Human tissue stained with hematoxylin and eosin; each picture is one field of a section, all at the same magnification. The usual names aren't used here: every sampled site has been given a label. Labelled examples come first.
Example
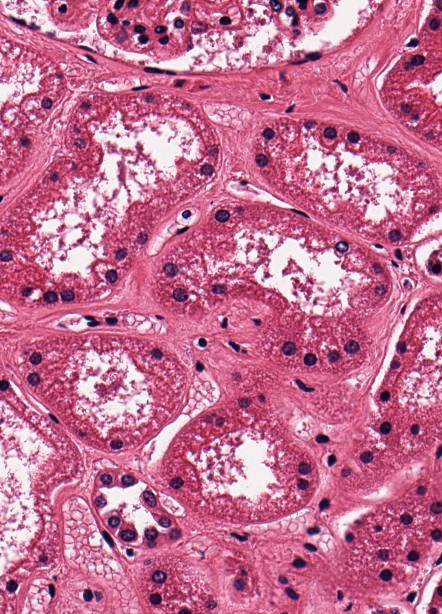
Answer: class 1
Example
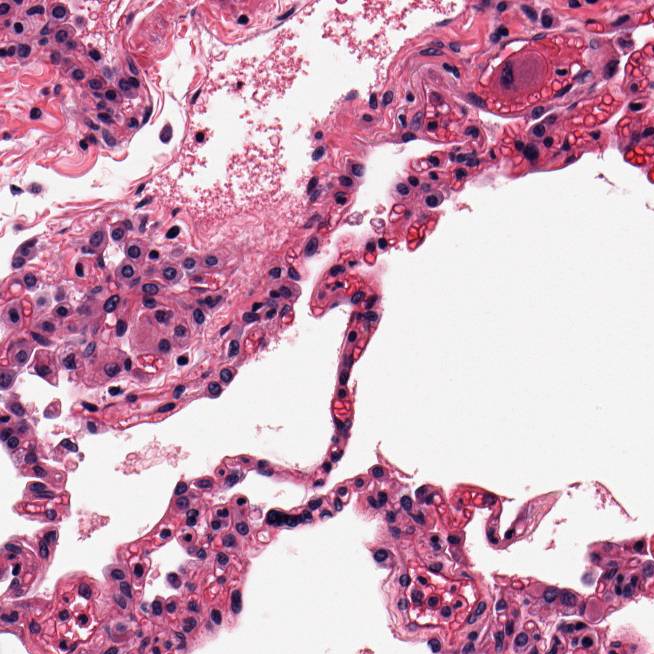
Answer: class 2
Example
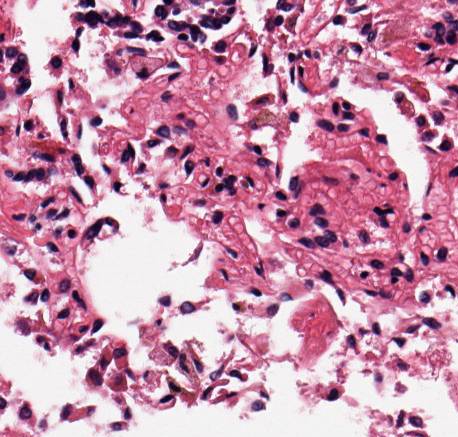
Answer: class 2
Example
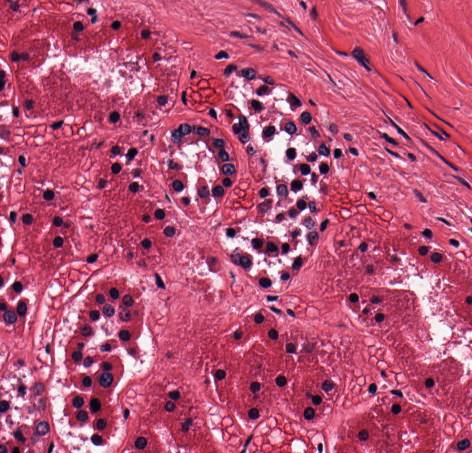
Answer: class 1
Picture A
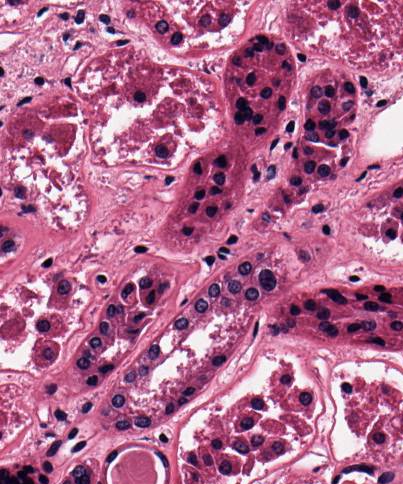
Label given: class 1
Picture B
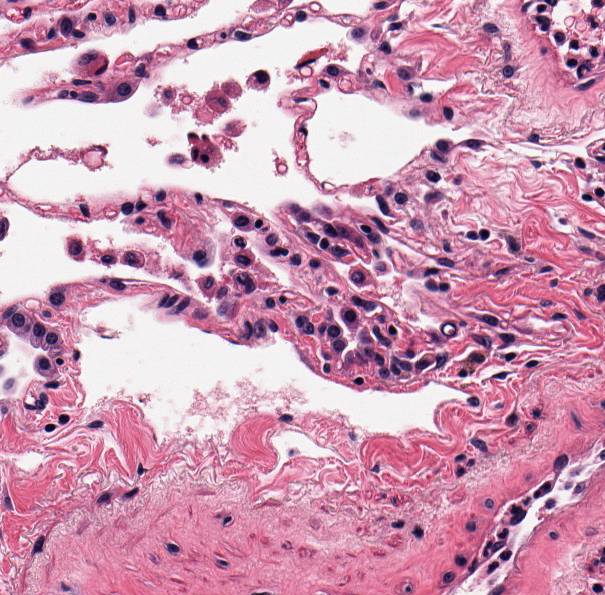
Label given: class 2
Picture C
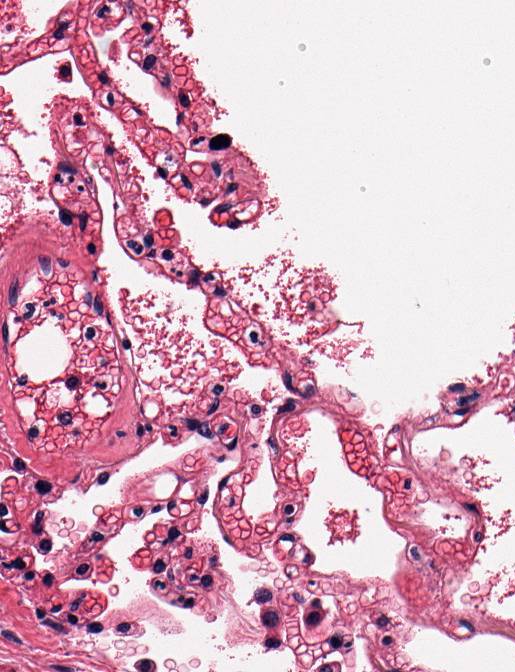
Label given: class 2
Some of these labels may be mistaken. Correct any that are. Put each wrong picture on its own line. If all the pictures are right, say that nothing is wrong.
None of the labels needs changing.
